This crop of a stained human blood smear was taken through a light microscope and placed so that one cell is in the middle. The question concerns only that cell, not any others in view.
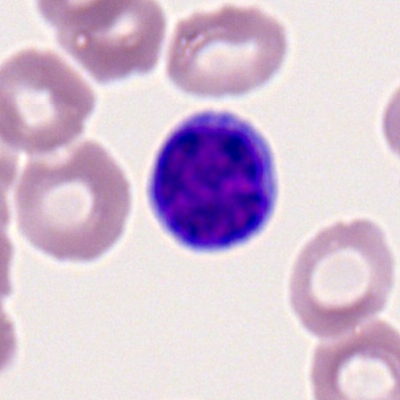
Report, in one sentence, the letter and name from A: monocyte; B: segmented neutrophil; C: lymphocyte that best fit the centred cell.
In the middle of the crop is a lymphocyte; option C is therefore correct.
